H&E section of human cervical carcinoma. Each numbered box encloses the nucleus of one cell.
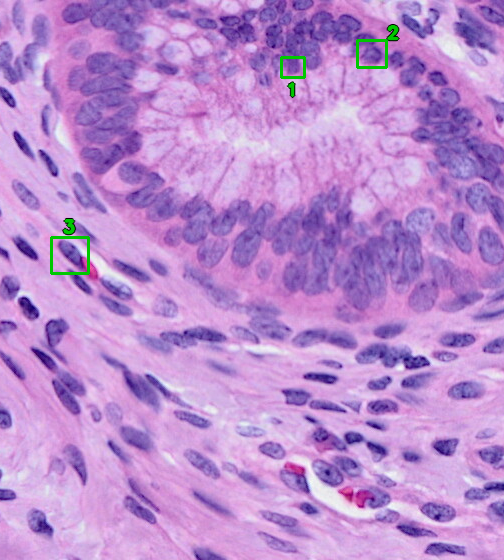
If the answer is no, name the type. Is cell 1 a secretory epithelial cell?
Yes.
